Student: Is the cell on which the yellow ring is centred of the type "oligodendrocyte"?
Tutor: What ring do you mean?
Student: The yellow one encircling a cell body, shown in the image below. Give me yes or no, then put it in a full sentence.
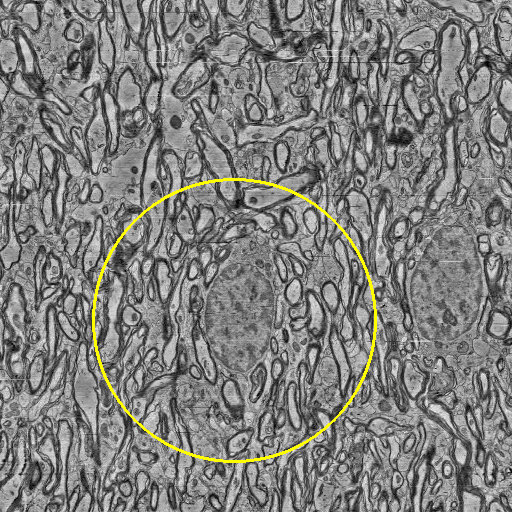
Yes, the cell on which the yellow ring in the image is centred has that type.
